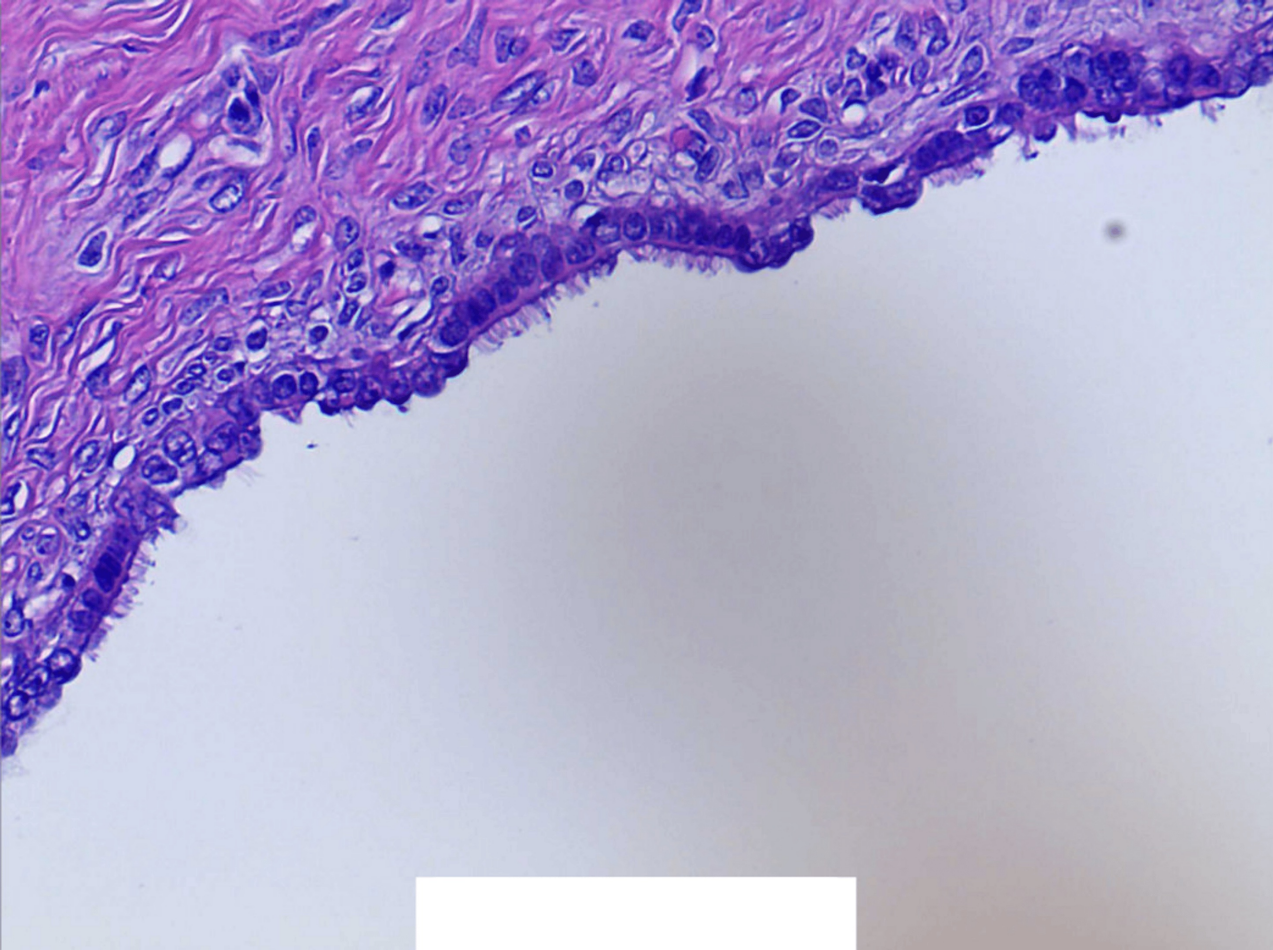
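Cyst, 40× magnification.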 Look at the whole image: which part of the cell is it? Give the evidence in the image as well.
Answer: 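Fine hair-like projections line the free surface of the cell layer facing the empty space. The projections stand on the apical side of the cells, away from the pink stroma.
Hence: cilia.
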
